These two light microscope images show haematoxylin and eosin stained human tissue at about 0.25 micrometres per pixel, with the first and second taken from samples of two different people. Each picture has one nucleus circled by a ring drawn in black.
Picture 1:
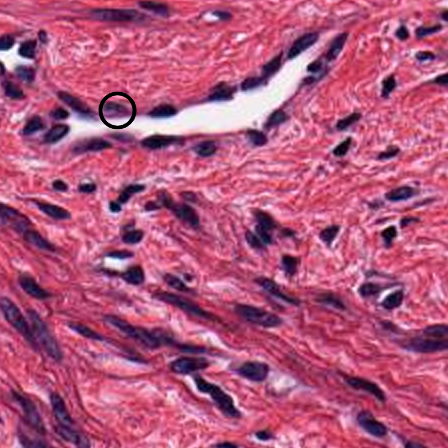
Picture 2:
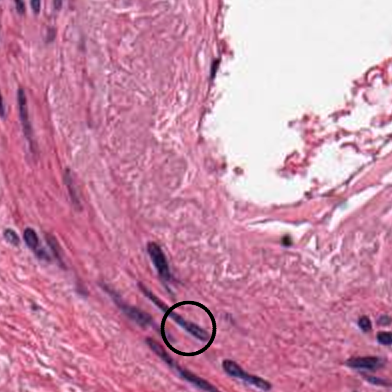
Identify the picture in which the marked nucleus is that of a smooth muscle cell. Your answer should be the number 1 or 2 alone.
2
